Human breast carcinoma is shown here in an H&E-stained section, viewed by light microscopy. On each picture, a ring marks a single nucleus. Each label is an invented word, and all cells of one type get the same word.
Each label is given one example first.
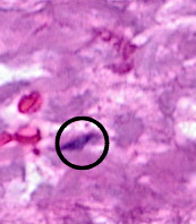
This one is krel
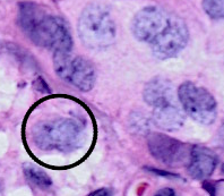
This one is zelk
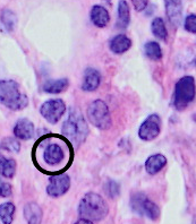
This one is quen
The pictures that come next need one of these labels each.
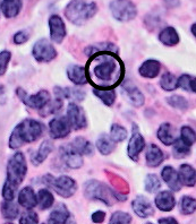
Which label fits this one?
quen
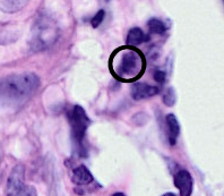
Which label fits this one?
quen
